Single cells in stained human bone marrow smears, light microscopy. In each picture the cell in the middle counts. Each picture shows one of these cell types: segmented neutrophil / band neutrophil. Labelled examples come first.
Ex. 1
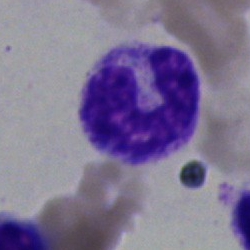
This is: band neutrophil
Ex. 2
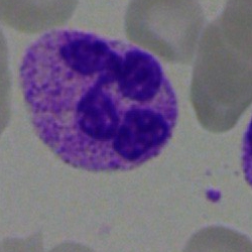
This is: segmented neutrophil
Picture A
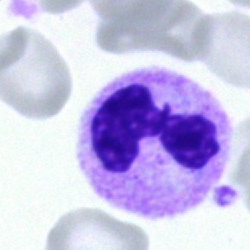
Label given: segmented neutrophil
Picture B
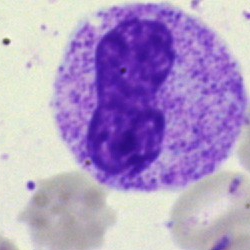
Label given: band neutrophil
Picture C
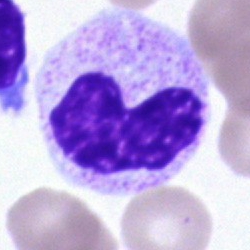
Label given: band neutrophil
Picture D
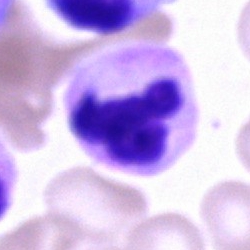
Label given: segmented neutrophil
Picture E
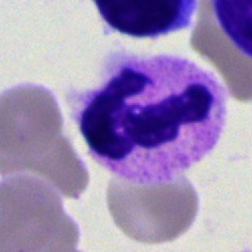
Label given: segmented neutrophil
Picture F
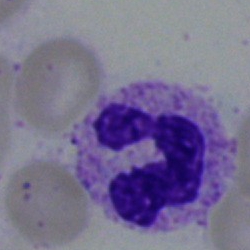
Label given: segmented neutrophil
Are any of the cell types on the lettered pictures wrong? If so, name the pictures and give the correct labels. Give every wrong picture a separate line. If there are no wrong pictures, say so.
None of the labels needs changing.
